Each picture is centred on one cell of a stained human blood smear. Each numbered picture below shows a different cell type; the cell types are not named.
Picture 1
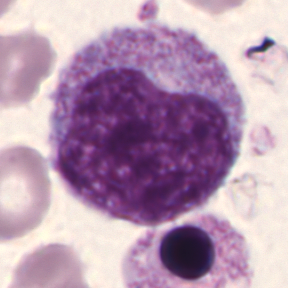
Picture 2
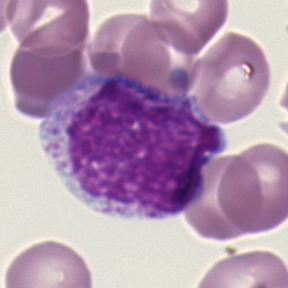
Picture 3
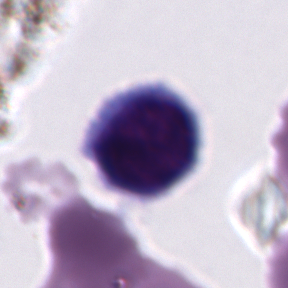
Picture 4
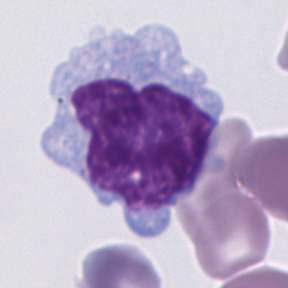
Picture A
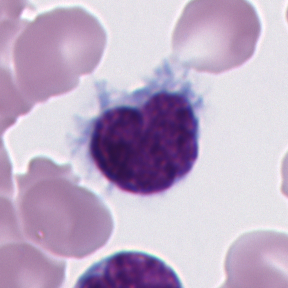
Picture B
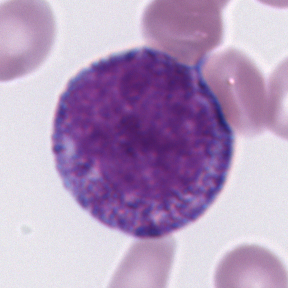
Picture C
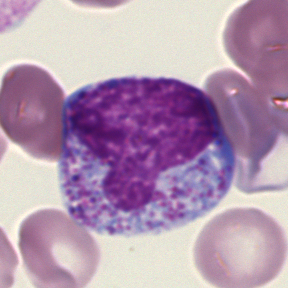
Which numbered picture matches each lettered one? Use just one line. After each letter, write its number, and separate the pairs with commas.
A 3, B 1, C 2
